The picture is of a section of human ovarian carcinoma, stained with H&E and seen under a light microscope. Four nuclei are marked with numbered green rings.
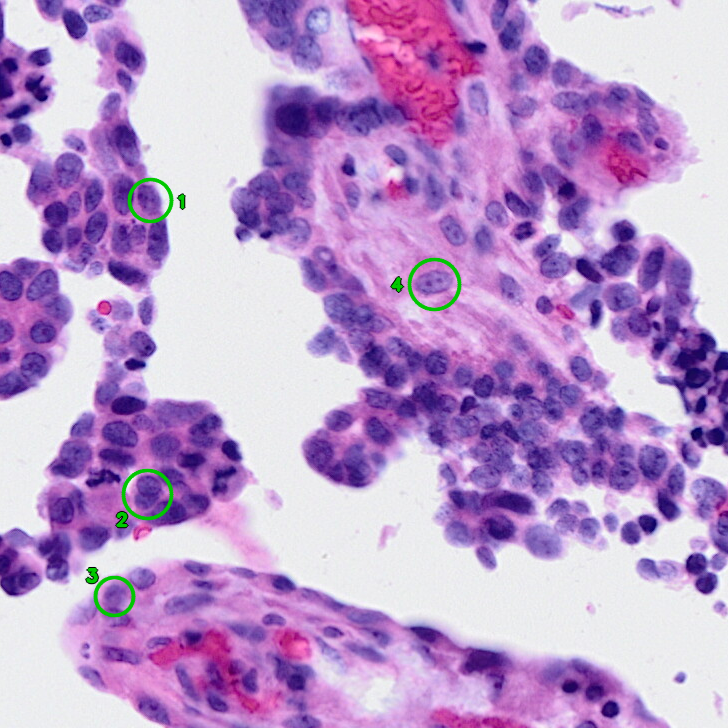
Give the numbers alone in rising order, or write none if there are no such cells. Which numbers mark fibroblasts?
4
